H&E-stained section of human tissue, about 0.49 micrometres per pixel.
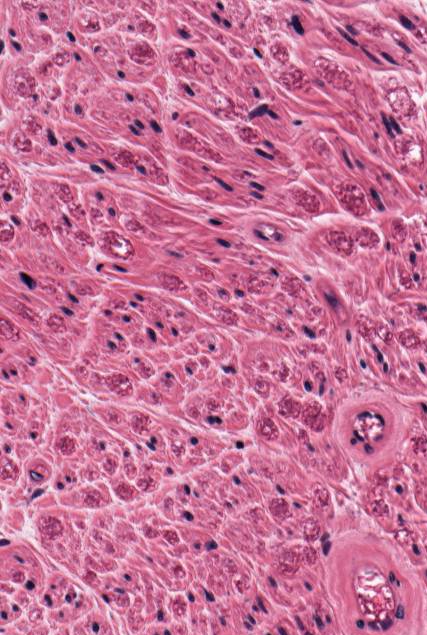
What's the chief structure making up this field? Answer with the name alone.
nerve fascicle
